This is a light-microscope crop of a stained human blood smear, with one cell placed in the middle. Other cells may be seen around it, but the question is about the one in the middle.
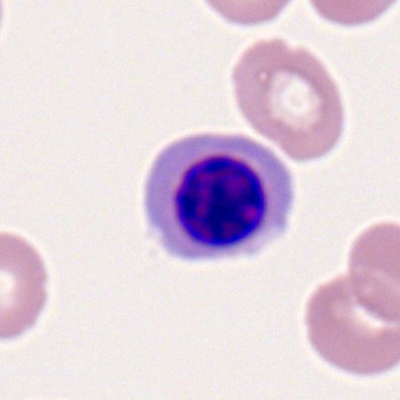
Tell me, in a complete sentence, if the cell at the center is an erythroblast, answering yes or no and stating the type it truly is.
Yes, what sits in the centre of the crop is an erythroblast.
